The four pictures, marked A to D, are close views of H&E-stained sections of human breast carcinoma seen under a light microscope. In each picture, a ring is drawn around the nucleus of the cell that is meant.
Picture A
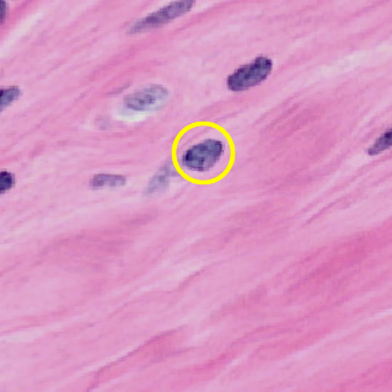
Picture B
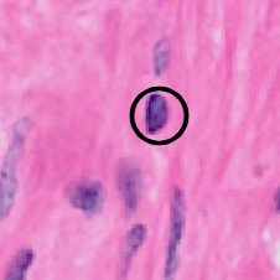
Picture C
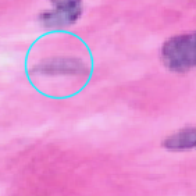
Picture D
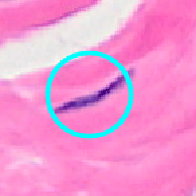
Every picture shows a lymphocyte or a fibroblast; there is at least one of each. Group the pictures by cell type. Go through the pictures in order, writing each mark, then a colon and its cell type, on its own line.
A: lymphocyte
B: lymphocyte
C: fibroblast
D: fibroblast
